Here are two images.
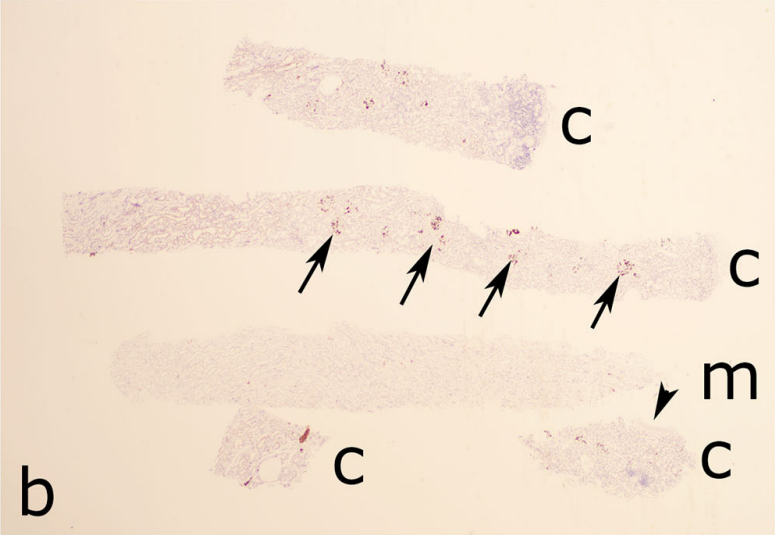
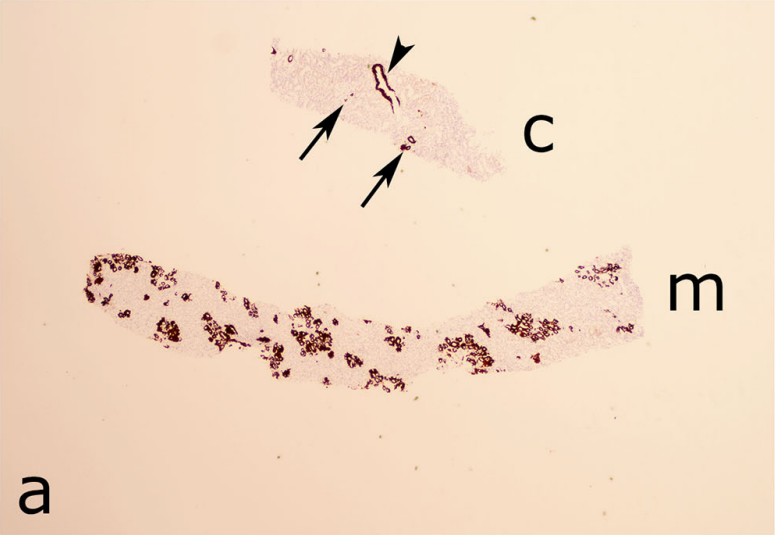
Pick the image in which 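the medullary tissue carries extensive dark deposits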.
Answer: The second image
